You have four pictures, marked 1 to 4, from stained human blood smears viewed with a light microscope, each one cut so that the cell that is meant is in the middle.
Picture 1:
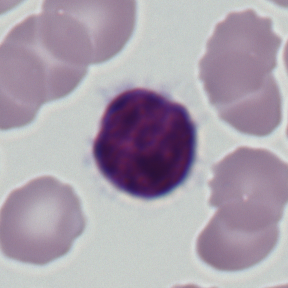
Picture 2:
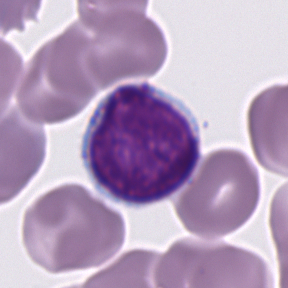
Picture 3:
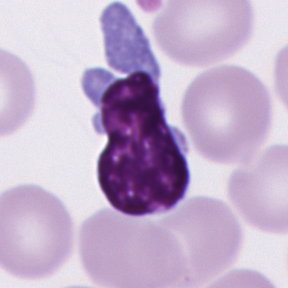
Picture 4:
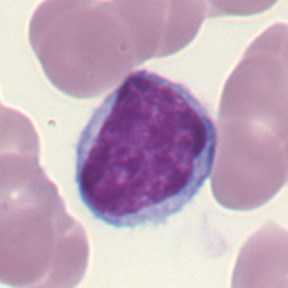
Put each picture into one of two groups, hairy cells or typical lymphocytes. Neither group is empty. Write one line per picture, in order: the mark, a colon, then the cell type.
1: hairy cell
2: typical lymphocyte
3: typical lymphocyte
4: typical lymphocyte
